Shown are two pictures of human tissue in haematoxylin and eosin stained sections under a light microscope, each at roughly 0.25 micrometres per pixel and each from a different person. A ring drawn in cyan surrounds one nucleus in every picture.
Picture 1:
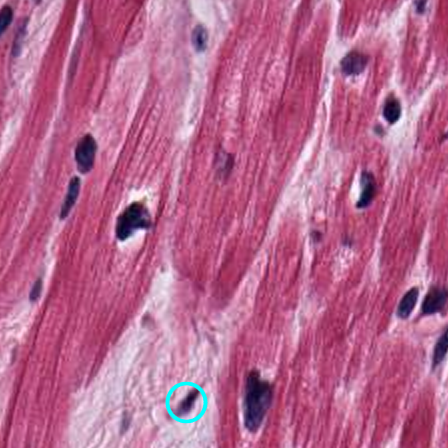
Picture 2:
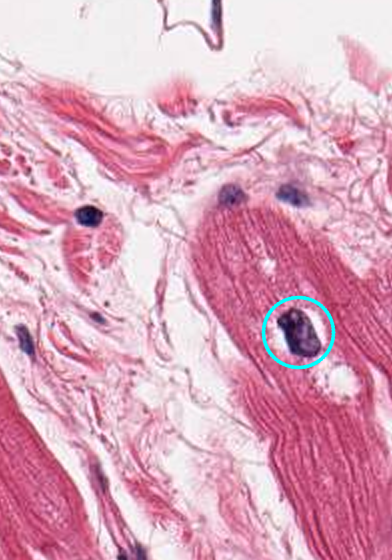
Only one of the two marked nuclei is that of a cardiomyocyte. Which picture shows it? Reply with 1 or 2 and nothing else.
2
